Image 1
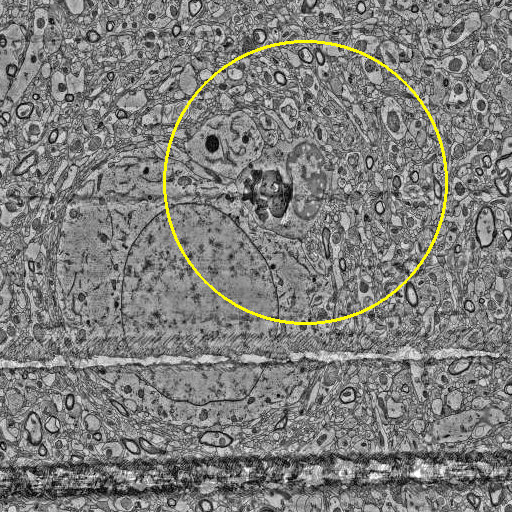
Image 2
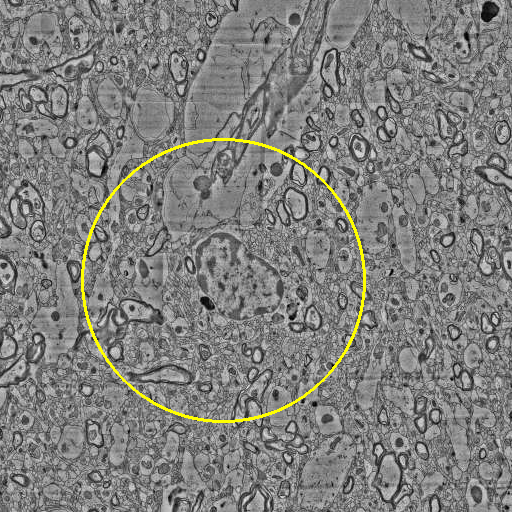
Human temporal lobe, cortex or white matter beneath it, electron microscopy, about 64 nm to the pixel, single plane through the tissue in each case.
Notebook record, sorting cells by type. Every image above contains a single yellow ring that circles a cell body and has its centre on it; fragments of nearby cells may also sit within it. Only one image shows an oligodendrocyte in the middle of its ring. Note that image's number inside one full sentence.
For image 1, the cell in the middle of its yellow ring is the match.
